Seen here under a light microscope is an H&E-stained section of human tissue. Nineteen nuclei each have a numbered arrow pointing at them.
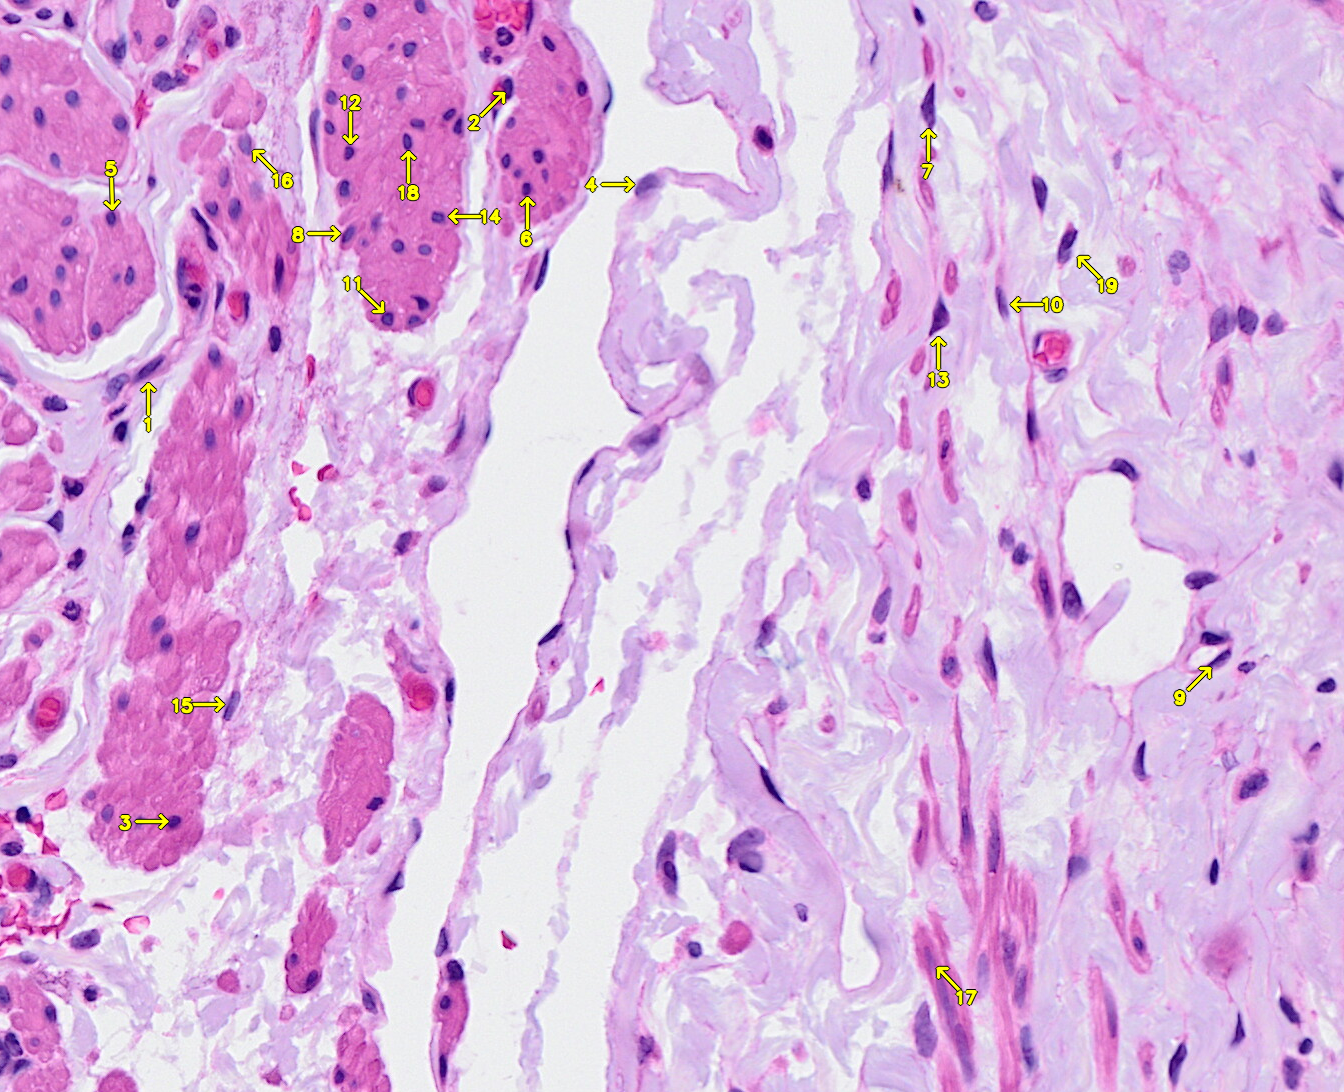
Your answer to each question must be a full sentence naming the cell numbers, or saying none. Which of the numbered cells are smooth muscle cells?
The cells that have been numbered 3, 5, 6, 8, 11, 12, 14, 16, 17 and 18 are smooth muscle cells.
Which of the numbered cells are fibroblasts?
The cells given the numbers 7, 10, 13, 15 and 19 are fibroblasts.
